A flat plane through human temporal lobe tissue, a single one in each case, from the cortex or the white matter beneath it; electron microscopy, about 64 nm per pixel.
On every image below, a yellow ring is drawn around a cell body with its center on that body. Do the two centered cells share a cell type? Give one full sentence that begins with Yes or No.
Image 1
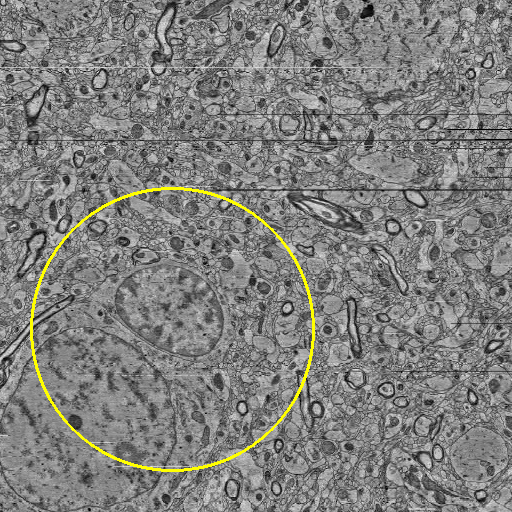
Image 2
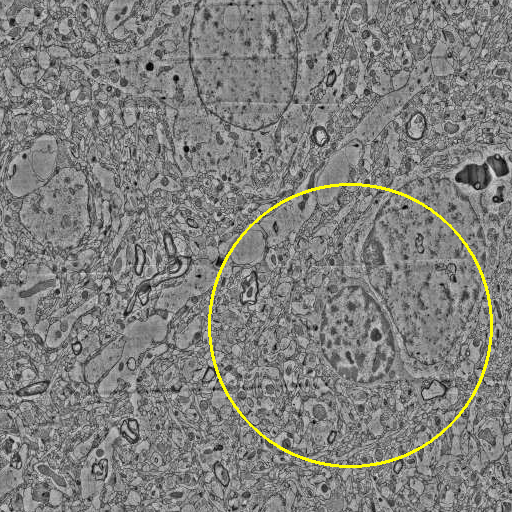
Yes, the centered cells in the two images are of a single cell type.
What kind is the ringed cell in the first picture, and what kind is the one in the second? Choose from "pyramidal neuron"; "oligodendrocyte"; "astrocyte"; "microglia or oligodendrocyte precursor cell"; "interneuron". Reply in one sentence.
Both rings mark an oligodendrocyte, one in each picture.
